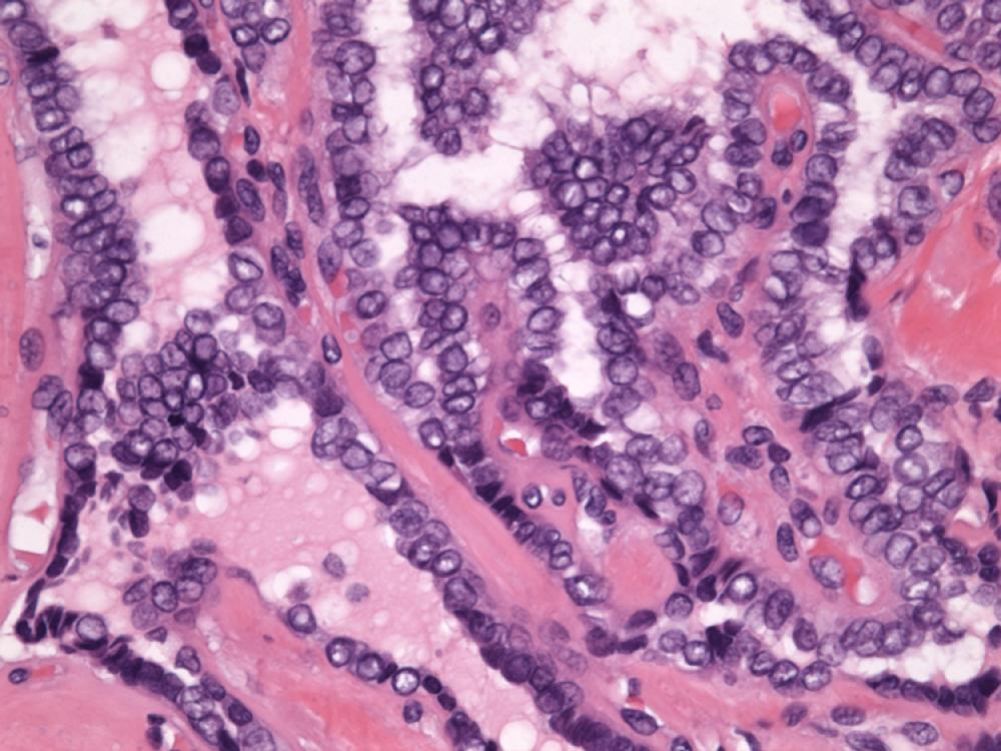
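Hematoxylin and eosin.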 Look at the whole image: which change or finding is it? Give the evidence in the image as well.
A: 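Papillary thyroid cancer. Epithelial cells line branching fronds that have thin pink fibrovascular cores. Pale pink homogeneous material with bubbles fills the spaces between the epithelial fronds. The nuclei are enlarged, crowded and pale.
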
